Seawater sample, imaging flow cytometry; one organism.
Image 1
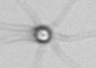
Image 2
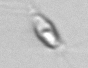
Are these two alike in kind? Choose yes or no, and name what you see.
No. First Ophiaster, second Chrysochromulina parkeae.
